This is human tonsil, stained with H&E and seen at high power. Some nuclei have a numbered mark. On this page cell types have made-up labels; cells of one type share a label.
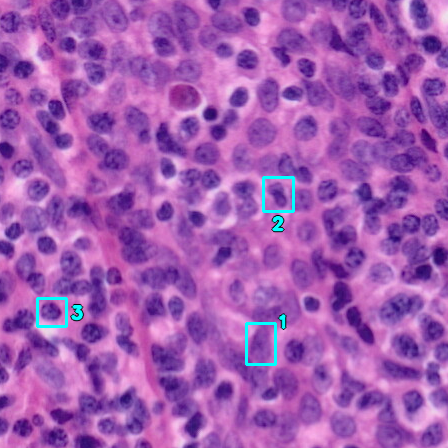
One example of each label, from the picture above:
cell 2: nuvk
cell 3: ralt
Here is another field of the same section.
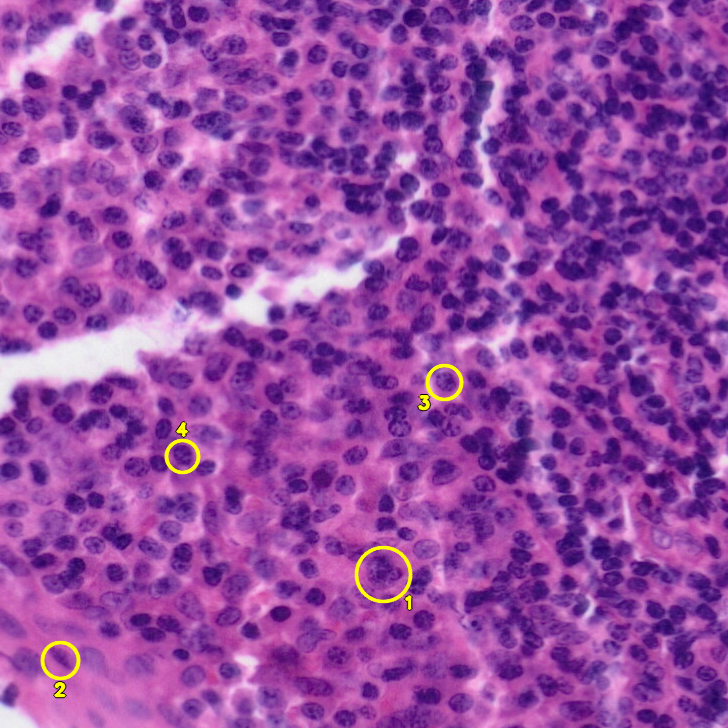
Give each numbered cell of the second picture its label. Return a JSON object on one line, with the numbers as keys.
{"1": "nuvk", "2": "nuvk", "3": "ralt", "4": "ralt"}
